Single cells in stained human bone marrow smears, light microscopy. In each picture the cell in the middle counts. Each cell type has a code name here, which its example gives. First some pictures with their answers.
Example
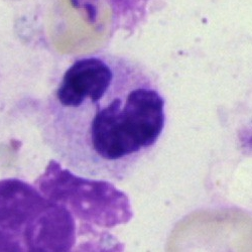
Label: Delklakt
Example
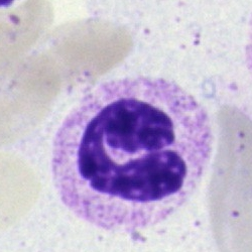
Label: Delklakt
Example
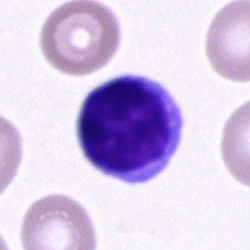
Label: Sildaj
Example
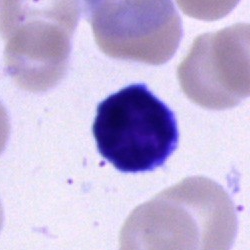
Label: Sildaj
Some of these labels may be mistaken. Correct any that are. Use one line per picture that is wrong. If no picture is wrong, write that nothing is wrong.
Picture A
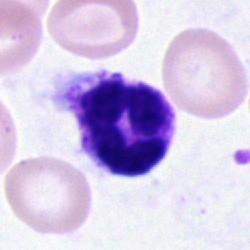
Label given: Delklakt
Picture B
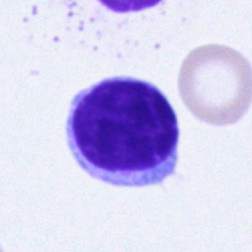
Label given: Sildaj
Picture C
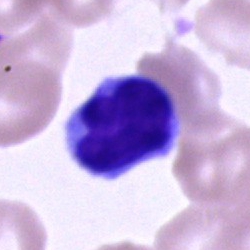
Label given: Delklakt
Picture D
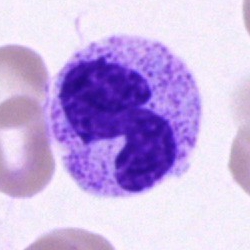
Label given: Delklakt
C should be Sildaj, not Delklakt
